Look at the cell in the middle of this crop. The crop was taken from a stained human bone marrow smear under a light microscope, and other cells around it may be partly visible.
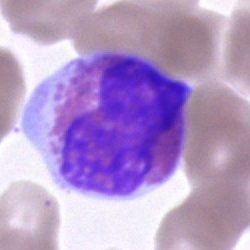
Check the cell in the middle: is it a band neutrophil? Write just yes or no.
no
